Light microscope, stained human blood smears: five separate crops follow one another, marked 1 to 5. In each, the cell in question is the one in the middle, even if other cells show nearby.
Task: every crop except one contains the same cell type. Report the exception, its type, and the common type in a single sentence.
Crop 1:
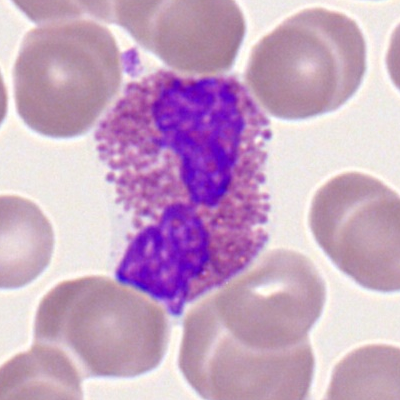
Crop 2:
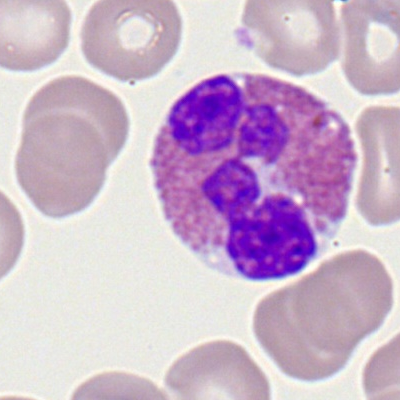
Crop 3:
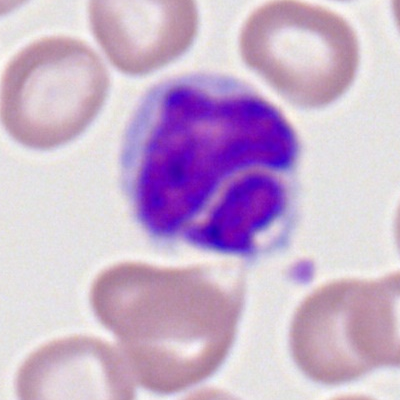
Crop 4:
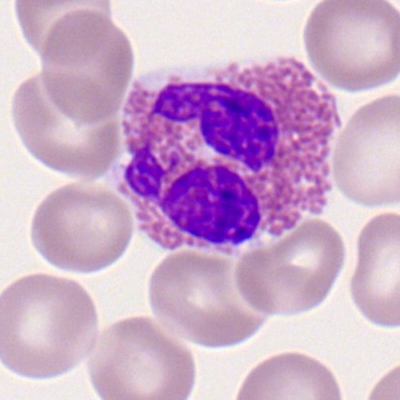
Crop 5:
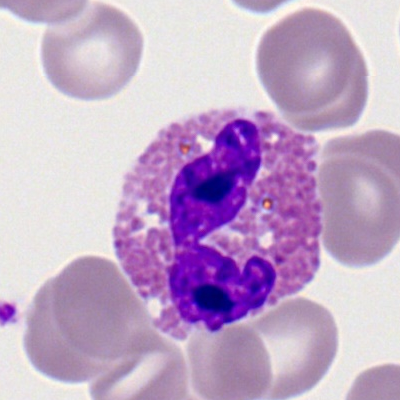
Crop 3 is the sole crop with a monocyte; the others all have eosinophils.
